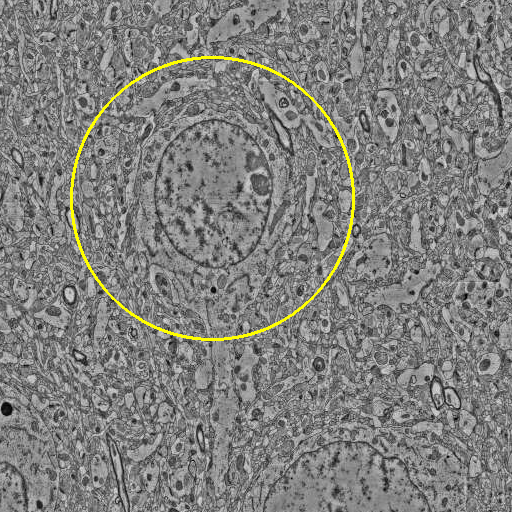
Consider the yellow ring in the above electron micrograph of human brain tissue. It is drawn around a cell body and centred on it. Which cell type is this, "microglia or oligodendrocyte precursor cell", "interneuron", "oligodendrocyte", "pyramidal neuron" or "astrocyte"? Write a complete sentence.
The cell in question is a pyramidal neuron.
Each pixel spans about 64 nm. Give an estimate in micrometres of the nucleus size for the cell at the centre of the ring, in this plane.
Approximately 9 by 7 micrometers in this plane.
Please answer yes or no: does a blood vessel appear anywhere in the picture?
No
